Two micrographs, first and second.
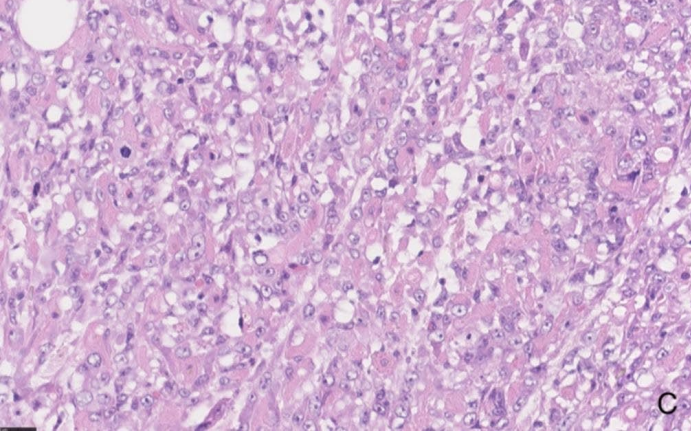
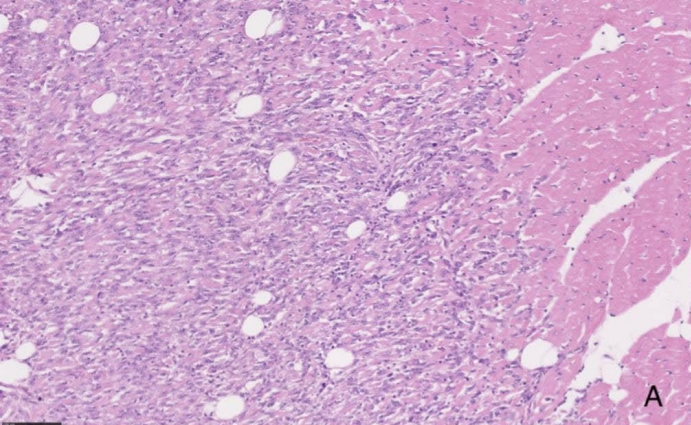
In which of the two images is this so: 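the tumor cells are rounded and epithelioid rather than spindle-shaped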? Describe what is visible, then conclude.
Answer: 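First image: cells are polygonal and round with abundant pink cytoplasm and round nuclei. Second image: the tumor tissue is made of elongated, spindle-shaped cells. The answer: the first image.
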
